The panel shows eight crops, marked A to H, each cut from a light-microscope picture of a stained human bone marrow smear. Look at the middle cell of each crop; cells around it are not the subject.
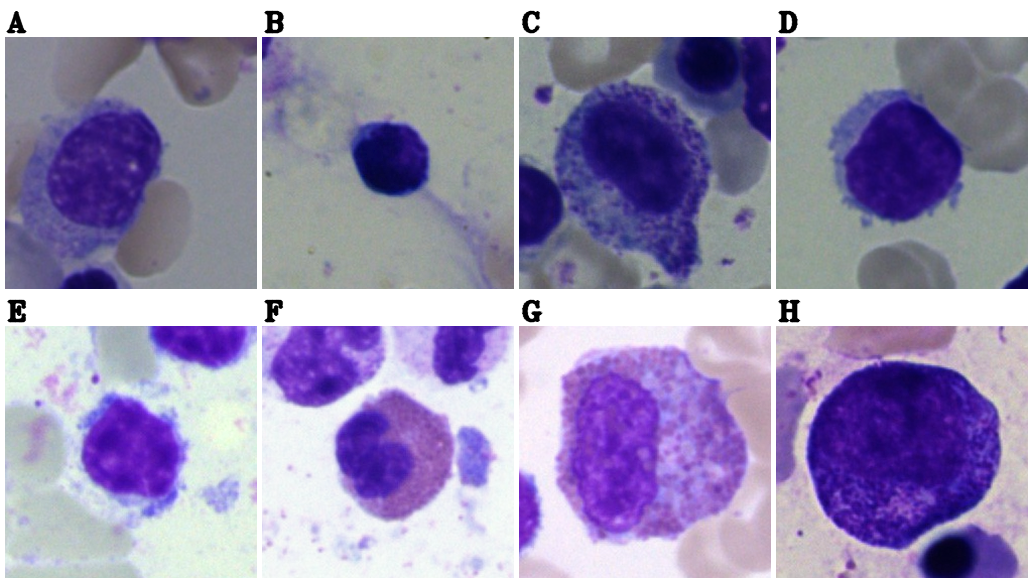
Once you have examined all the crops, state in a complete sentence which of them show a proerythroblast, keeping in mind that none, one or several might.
No crop in this set shows a proerythroblast.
